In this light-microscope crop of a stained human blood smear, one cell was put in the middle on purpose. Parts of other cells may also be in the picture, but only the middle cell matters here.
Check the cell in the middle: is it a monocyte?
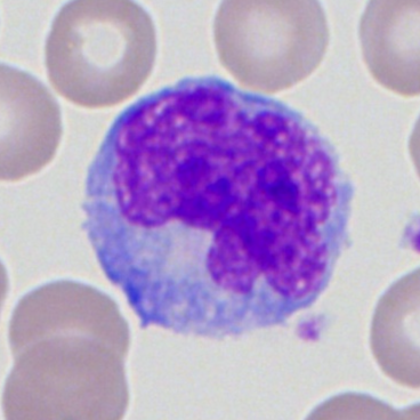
yes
